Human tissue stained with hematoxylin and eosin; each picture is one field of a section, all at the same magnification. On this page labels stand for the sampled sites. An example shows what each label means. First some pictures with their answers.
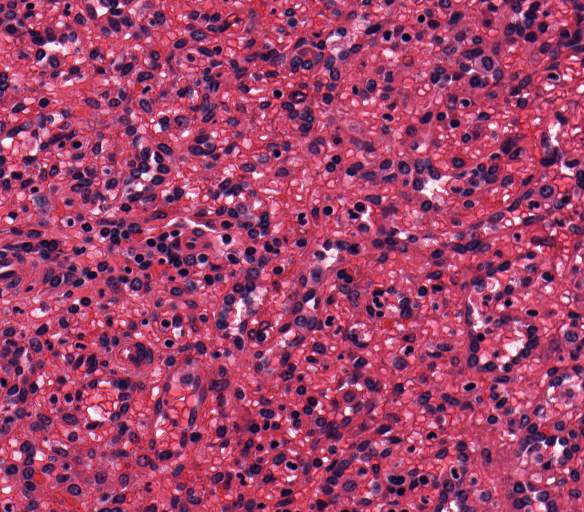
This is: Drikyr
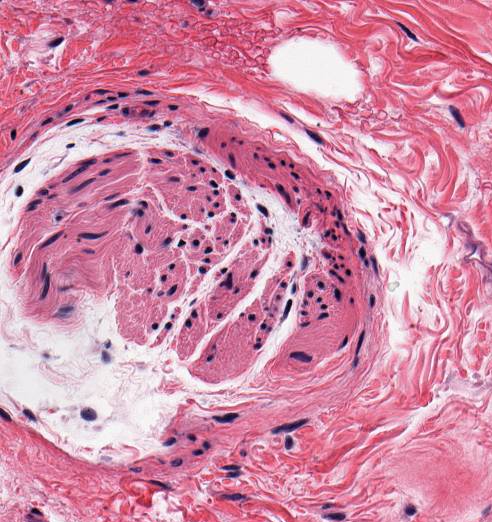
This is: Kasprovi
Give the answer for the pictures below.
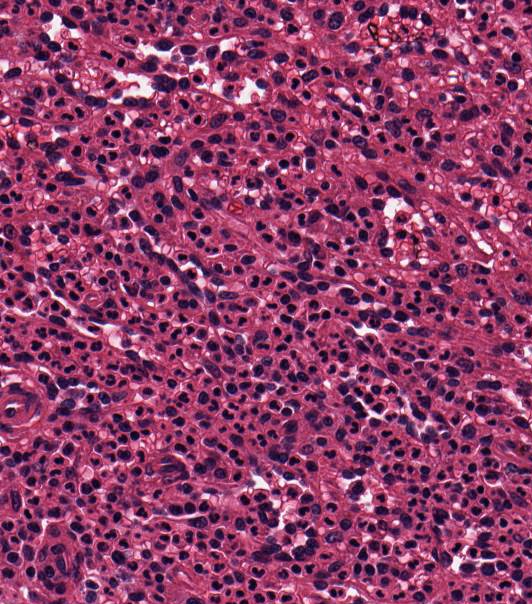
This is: Drikyr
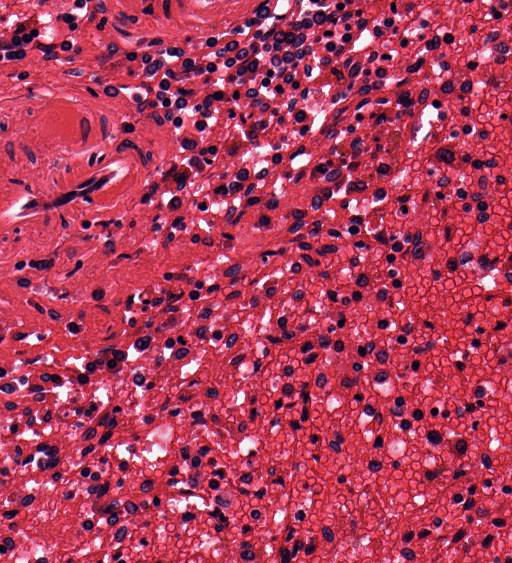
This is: Drikyr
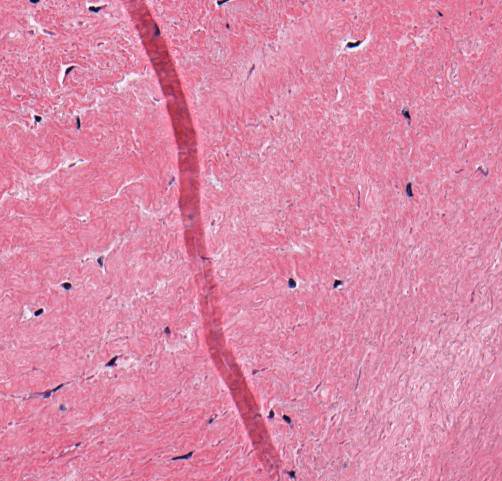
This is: Kasprovi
